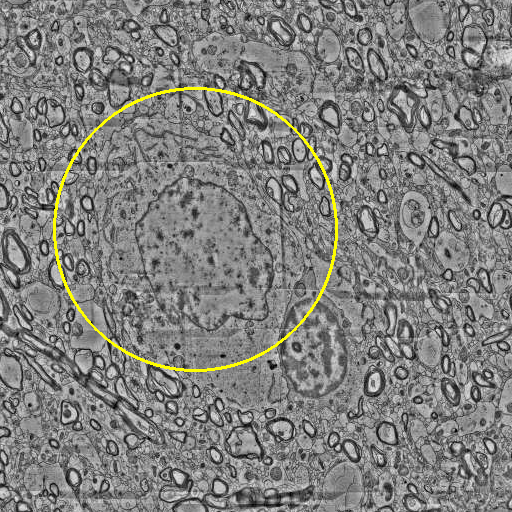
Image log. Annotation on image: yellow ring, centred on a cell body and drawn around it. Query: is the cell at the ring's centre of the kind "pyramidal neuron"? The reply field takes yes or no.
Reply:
yes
